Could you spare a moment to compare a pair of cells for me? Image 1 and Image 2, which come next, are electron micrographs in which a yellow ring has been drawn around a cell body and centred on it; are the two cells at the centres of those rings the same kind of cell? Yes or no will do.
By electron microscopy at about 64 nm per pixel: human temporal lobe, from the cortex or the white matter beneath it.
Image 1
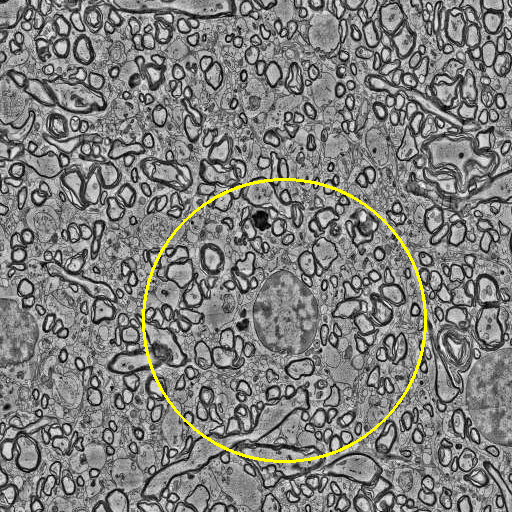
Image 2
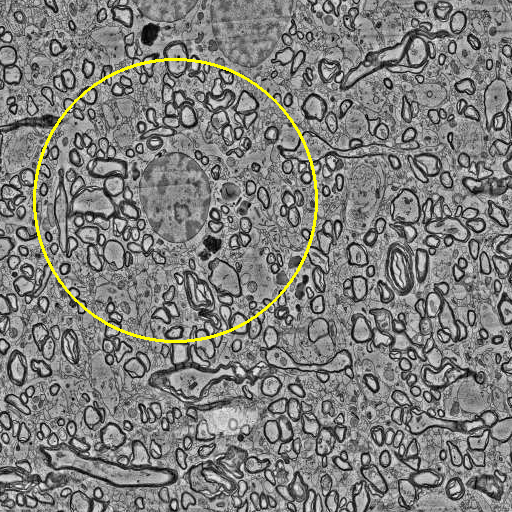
yes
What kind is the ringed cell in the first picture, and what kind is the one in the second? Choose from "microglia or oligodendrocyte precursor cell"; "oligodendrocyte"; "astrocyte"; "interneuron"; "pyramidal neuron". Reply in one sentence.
Each cell, in the first picture and the second, is a microglial cell or oligodendrocyte precursor cell.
